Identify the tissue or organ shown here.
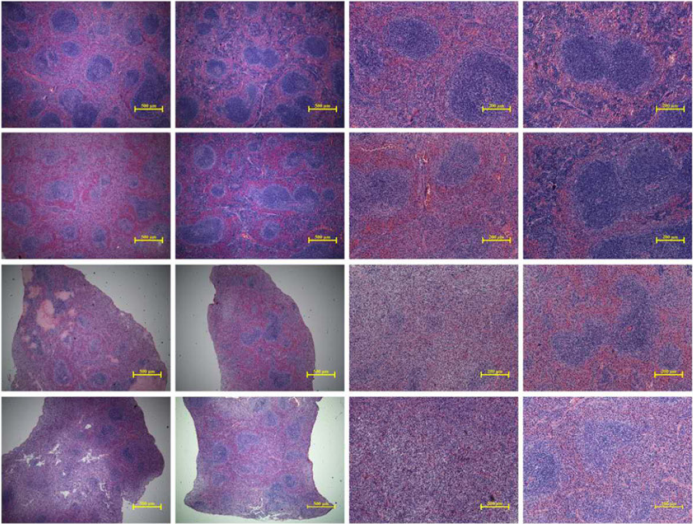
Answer: Spleen.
